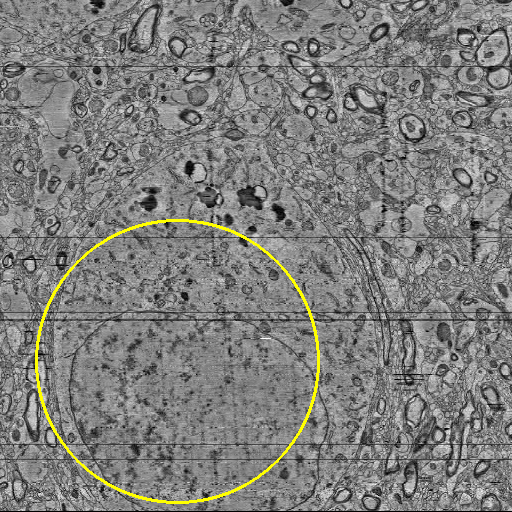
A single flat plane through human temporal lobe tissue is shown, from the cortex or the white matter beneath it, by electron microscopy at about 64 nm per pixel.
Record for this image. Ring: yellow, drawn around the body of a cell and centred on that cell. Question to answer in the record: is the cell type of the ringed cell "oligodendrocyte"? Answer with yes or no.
no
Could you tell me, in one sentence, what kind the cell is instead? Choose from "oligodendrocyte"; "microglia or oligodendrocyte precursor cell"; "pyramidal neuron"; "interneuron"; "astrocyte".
The cell at the ring centre is a pyramidal neuron.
